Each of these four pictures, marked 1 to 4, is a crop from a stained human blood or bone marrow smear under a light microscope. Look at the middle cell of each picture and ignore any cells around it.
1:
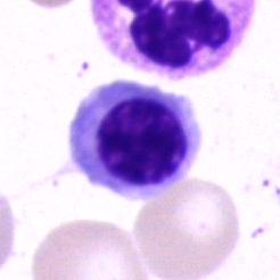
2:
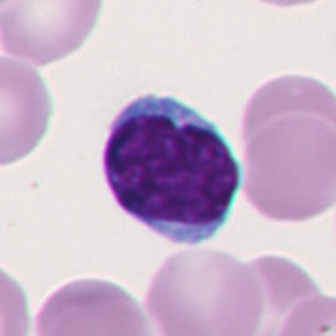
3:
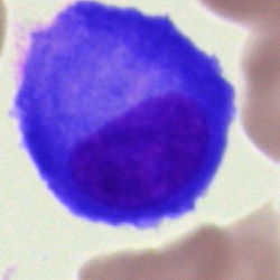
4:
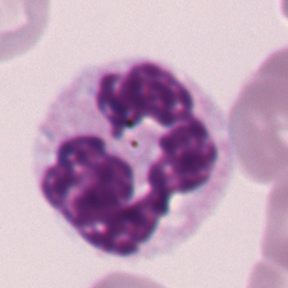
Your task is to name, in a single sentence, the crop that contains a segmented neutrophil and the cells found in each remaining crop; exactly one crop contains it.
Among the crops, crop 4 shows a segmented neutrophil, while crop 1 is an erythroblast, crop 2 is a lymphocyte and crop 3 is a plasma cell.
